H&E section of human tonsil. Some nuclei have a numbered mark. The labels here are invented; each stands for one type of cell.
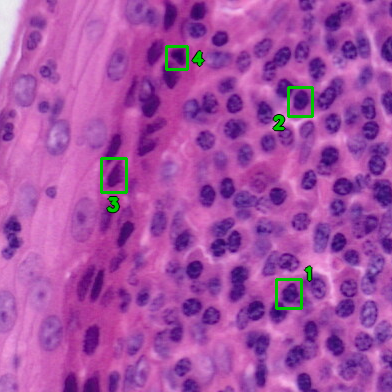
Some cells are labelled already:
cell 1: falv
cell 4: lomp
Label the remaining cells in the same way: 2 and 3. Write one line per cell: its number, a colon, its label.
2: falv
3: lomp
